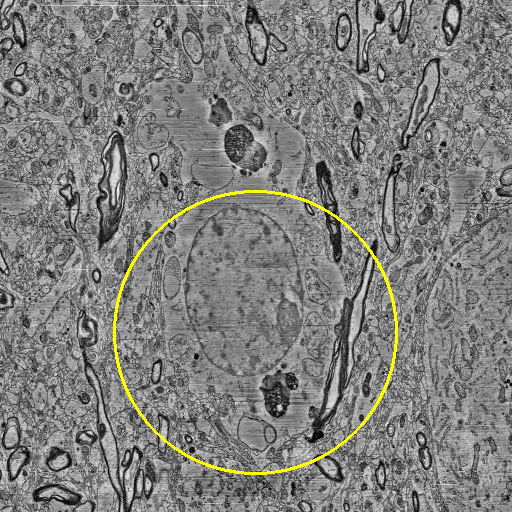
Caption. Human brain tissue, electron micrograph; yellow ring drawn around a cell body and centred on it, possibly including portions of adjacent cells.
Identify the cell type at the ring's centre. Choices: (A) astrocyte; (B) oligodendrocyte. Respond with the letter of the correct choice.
A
